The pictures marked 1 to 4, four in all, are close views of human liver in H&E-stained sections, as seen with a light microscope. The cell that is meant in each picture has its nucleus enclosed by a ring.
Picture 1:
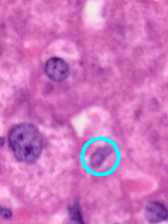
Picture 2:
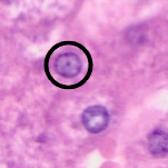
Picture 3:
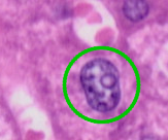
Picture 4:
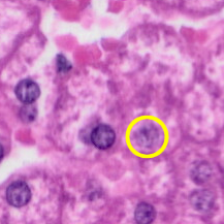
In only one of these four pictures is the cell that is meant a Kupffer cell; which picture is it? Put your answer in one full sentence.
Picture 1 is the one that shows the Kupffer cell.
